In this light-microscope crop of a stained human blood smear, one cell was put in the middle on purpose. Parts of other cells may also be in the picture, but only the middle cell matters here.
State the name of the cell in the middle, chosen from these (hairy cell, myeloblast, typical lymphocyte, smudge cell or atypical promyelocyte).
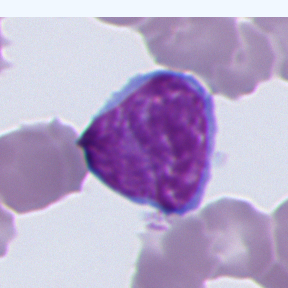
typical lymphocyte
